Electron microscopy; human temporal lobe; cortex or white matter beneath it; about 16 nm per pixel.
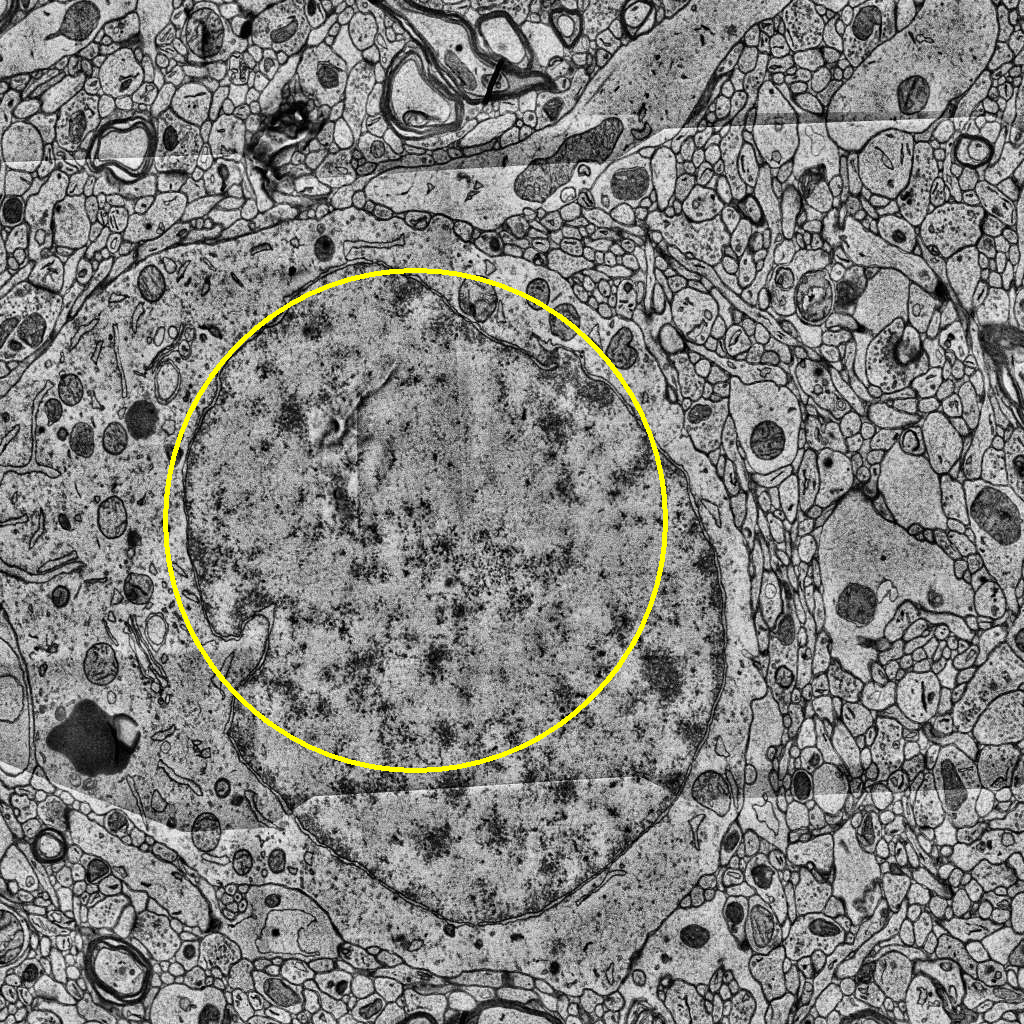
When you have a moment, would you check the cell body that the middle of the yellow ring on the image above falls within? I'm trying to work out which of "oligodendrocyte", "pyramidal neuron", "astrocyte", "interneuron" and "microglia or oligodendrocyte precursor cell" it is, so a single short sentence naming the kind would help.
This cell body belongs to an interneuron.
